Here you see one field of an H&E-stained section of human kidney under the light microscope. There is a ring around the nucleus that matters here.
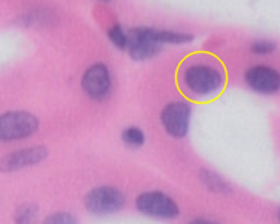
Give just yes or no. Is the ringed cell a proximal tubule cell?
no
